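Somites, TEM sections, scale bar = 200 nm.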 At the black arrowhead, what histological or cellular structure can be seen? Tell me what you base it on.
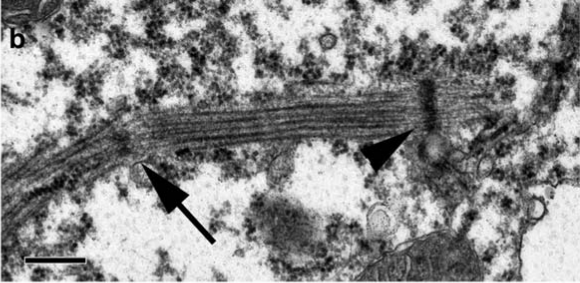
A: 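A dark, dense band crosses the end of the filament bundle. The filaments run into it from one side.
Answer: Z-discs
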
